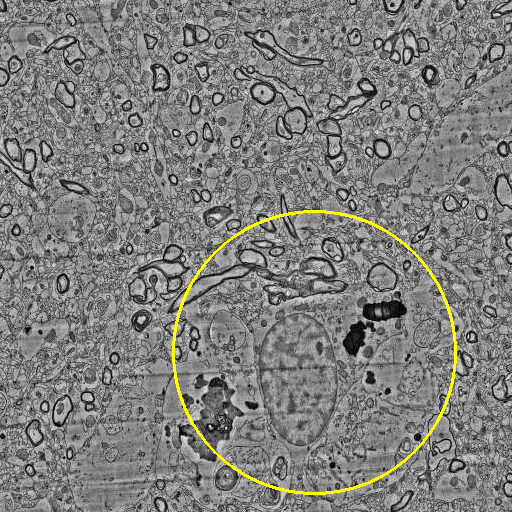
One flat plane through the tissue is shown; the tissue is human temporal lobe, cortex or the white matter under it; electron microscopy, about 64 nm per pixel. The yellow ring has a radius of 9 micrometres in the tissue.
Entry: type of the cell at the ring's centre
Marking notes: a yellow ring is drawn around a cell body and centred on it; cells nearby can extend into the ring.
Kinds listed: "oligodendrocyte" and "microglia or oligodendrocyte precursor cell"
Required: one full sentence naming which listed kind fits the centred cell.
My entry names an oligodendrocyte as the cell whose body the yellow ring centres on.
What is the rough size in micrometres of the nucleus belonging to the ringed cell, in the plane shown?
About 8 by 5 micrometres in this plane.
